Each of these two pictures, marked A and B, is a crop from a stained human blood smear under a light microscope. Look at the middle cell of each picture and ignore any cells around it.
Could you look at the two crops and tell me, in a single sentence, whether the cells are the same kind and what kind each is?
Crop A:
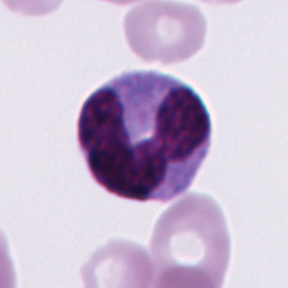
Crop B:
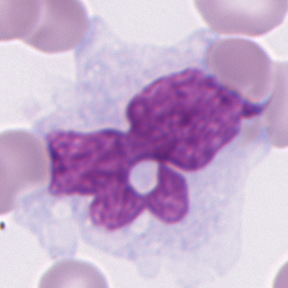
Yes, both crops alike show monocytes at the centre.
